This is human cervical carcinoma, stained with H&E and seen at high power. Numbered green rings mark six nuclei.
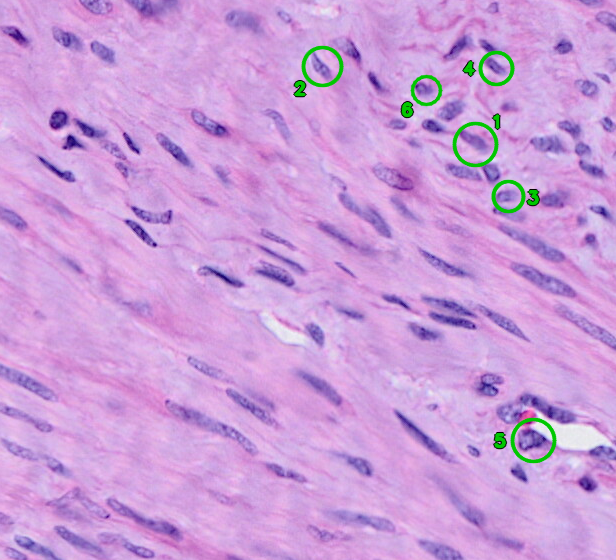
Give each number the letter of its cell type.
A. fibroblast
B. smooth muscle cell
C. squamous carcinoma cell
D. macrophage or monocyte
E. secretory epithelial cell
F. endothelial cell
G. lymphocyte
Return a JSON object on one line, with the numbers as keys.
{"1": "B", "2": "A", "3": "B", "4": "B", "5": "F", "6": "B"}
